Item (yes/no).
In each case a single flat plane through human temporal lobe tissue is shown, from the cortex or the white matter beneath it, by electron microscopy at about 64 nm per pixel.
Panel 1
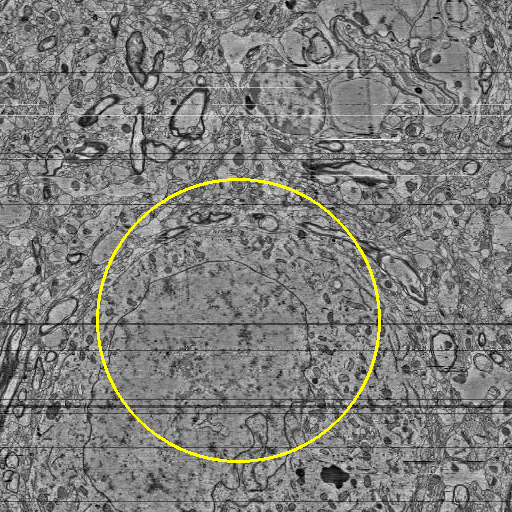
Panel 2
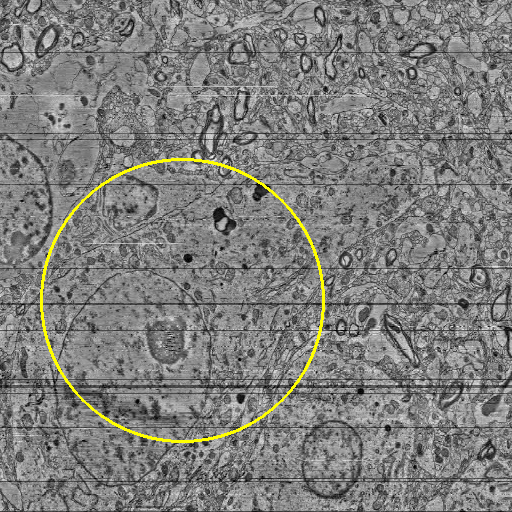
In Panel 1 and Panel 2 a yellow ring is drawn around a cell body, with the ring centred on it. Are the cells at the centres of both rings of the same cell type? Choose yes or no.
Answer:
yes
